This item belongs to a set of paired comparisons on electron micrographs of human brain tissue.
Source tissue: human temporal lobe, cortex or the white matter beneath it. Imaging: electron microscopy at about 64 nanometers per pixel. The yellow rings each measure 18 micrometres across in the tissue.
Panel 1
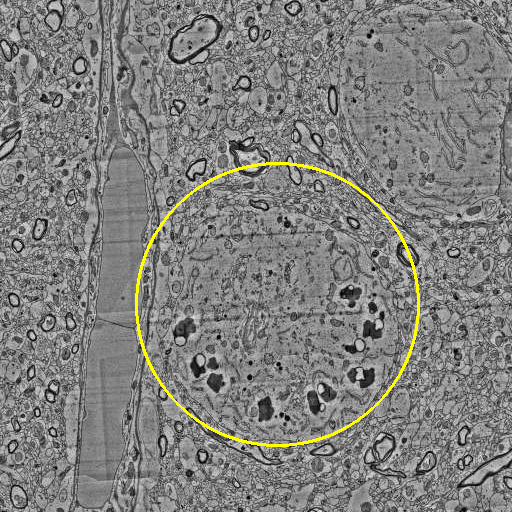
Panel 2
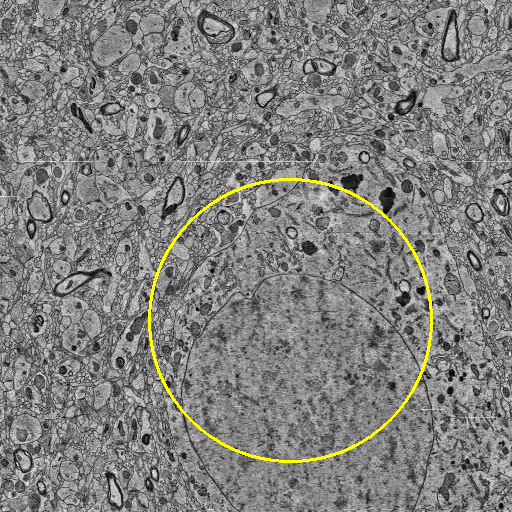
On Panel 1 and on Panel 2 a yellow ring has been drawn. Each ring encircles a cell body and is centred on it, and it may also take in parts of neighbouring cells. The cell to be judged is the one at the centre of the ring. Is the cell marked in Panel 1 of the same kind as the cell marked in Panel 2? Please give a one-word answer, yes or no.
yes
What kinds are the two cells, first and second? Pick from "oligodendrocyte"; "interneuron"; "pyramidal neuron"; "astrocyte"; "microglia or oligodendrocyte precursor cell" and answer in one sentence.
Each of the two cells is a pyramidal neuron.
